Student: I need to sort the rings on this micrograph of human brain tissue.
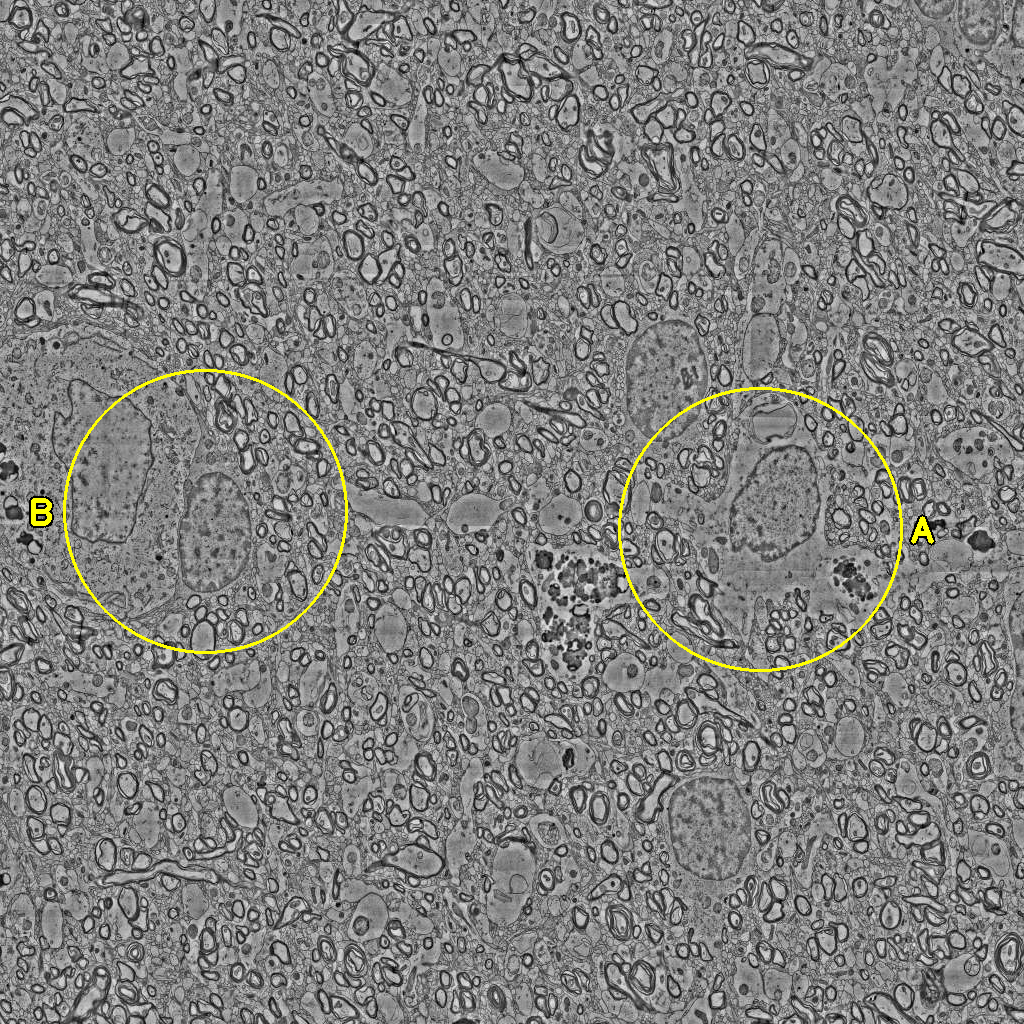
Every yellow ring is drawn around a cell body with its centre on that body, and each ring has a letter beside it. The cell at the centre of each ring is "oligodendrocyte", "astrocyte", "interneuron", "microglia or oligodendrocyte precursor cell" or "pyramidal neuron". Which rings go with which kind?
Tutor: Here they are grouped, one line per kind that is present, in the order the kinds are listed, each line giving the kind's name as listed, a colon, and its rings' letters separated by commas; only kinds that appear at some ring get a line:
oligodendrocyte: B
astrocyte: A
